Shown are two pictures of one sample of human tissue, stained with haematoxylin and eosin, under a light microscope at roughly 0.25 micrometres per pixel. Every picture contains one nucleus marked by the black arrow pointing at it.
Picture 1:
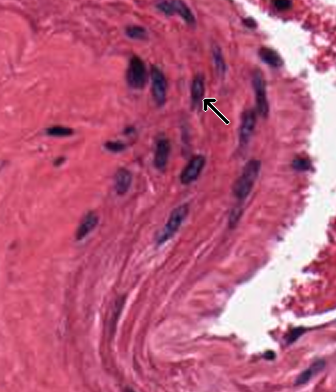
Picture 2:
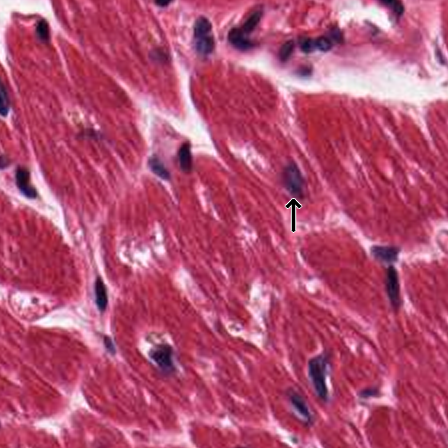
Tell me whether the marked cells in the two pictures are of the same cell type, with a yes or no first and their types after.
No, the first is a smooth muscle cell and the second a cardiomyocyte.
